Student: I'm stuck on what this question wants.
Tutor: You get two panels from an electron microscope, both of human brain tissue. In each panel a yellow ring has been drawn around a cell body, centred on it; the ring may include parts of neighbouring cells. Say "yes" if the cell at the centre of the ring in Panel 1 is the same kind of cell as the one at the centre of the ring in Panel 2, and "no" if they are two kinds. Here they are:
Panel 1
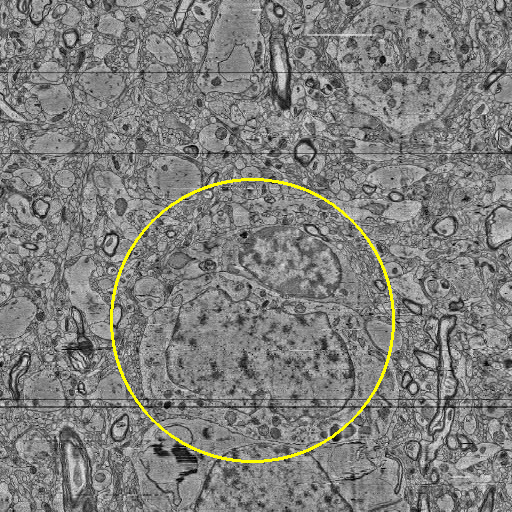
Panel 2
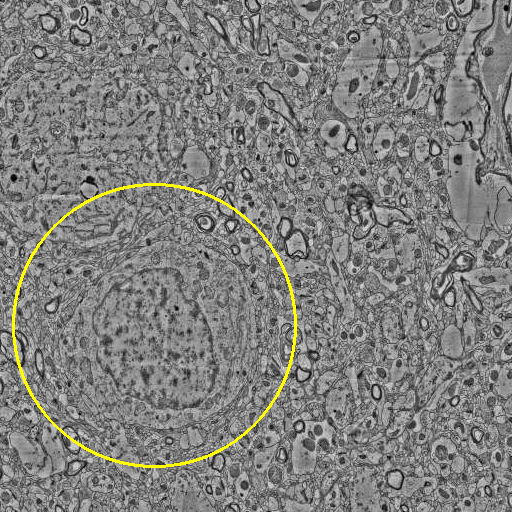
yes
